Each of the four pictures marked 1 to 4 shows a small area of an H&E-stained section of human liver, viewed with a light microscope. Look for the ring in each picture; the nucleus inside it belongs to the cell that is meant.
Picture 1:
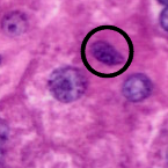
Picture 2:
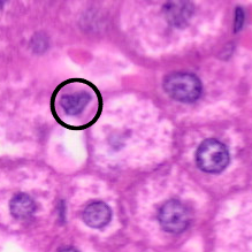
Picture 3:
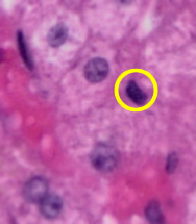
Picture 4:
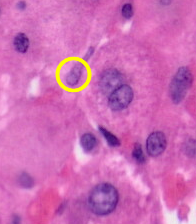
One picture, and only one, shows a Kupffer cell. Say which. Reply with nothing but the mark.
4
